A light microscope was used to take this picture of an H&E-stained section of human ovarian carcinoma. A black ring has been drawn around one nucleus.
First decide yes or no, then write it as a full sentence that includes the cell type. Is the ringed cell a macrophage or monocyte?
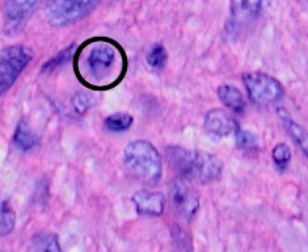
Yes, the ringed cell qualifies as a macrophage or monocyte in this section.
